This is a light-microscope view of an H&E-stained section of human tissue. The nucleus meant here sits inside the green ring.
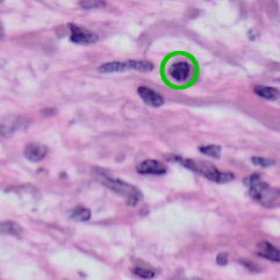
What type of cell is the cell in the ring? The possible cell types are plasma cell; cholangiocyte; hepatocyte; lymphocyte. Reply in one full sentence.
In this section, the cell in the ring is a plasma cell.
